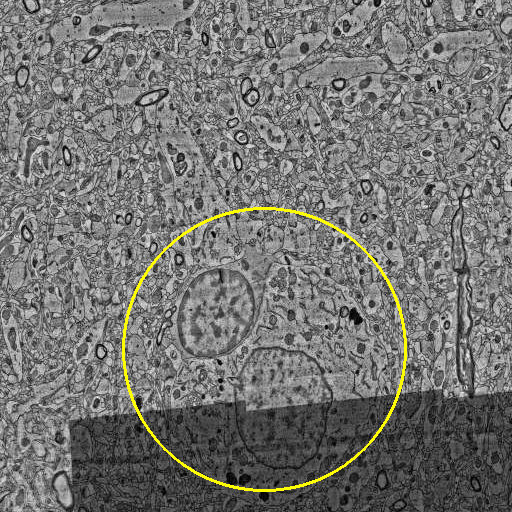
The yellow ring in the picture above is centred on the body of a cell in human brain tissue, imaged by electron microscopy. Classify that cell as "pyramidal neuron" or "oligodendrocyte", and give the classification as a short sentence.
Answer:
The cell in the middle of the ring is a pyramidal neuron.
